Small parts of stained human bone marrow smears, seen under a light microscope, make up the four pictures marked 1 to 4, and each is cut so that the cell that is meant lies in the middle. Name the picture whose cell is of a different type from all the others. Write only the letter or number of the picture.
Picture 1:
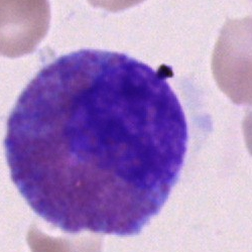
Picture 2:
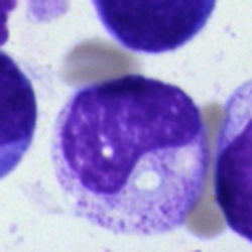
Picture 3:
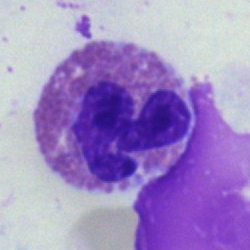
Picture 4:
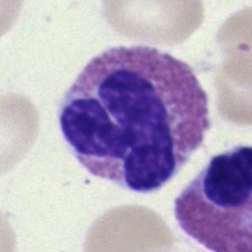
2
